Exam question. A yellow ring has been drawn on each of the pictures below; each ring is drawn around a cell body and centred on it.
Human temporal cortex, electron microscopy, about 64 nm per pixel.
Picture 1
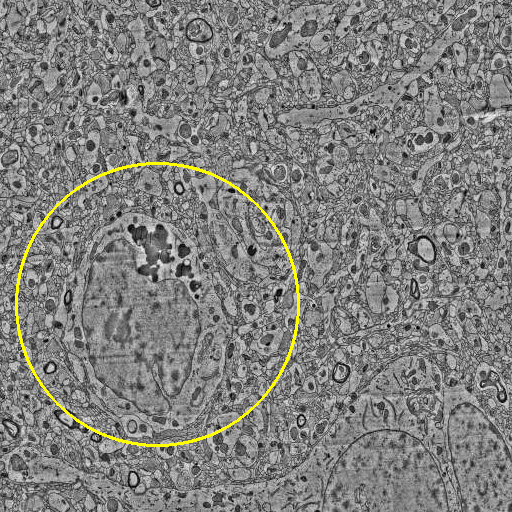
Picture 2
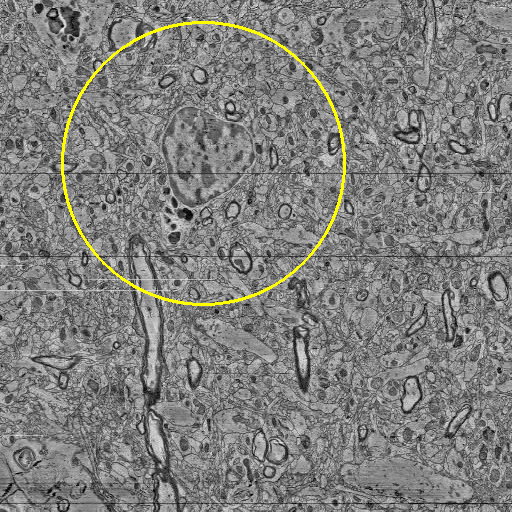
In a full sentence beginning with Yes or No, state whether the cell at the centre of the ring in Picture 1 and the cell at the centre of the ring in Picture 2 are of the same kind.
No, the cells are of two kinds.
